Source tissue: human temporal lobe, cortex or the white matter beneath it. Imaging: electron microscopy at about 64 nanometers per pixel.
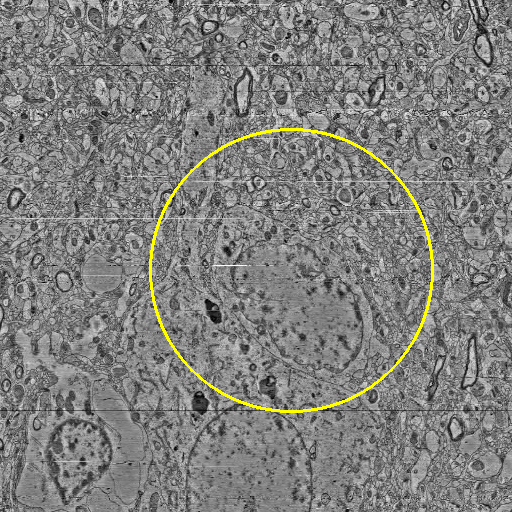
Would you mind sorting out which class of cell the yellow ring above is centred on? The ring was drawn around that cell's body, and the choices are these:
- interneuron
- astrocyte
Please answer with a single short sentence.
This is the cell body of an interneuron.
